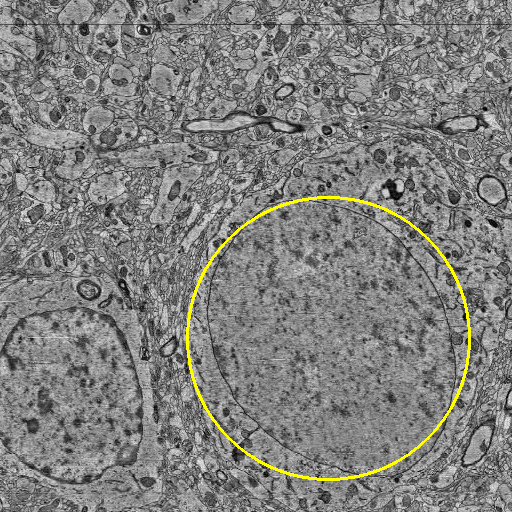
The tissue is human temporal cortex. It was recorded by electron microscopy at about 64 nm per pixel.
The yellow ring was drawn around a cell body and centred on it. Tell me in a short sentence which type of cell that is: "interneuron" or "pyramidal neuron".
The cell at the ring's centre is a pyramidal neuron.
